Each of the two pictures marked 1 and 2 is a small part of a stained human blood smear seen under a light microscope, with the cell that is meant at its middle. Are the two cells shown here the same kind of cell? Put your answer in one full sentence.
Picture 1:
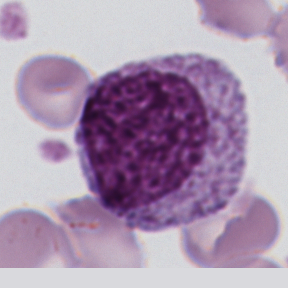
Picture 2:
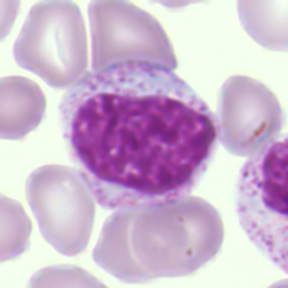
No, the types are not the same, since picture 1 shows a myelocyte and picture 2 a metamyelocyte.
